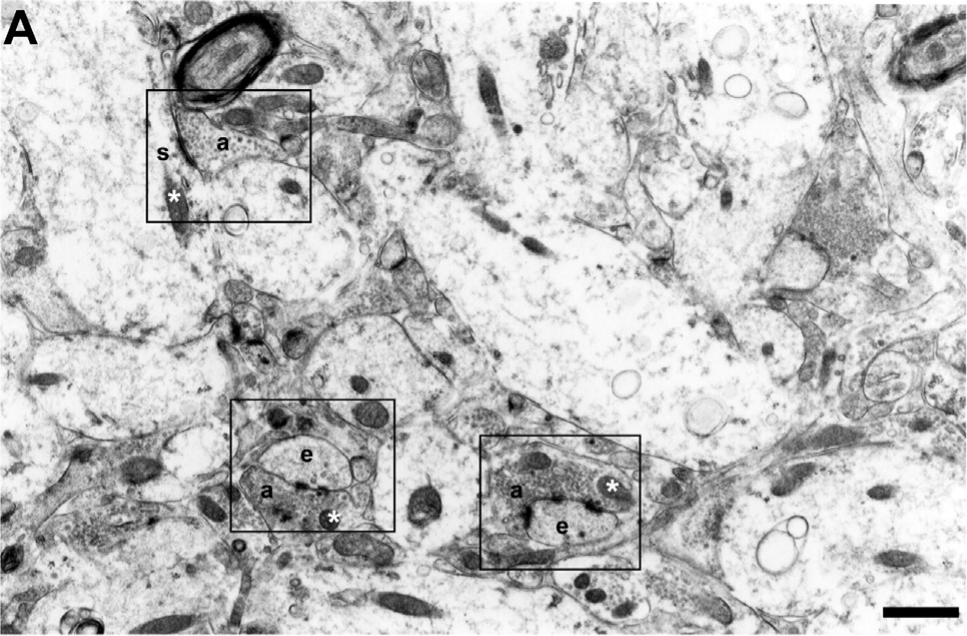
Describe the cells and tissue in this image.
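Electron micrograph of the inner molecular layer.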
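This is densely packed neuropil: many membrane-bound profiles of varying size, scattered dark oval mitochondria, and a few thick, dark, ringed myelinated axons at the top. Several profiles are crowded with small round clear vesicles and contain mitochondria. These vesicle-filled axon terminals contact pale, organelle-poor dendritic spines or a dendritic shaft, and at each contact a dark density thickens the postsynaptic membrane, marking asymmetric synapses.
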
